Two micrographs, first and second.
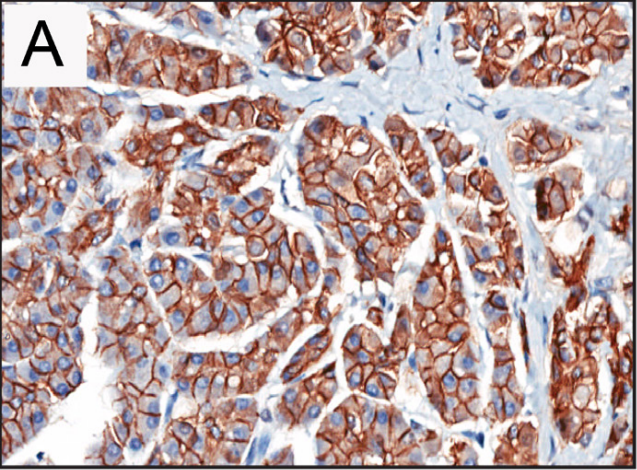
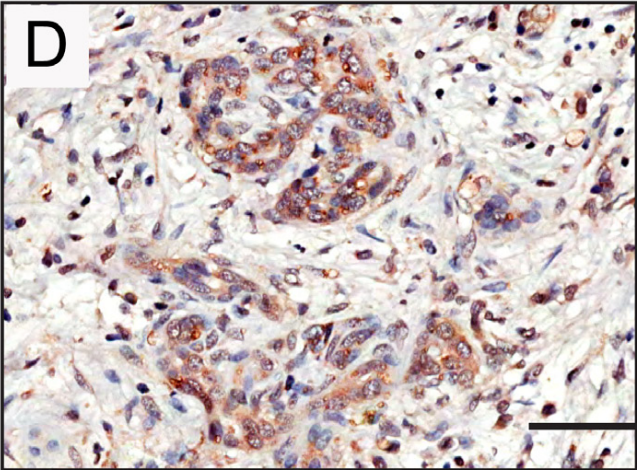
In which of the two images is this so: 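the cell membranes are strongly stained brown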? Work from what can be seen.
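Second image: epithelial clusters show only faint, patchy brown without crisp cell outlines. First image: nearly every epithelial cell is ringed by a dark brown line at its border. On this evidence: the first image.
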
